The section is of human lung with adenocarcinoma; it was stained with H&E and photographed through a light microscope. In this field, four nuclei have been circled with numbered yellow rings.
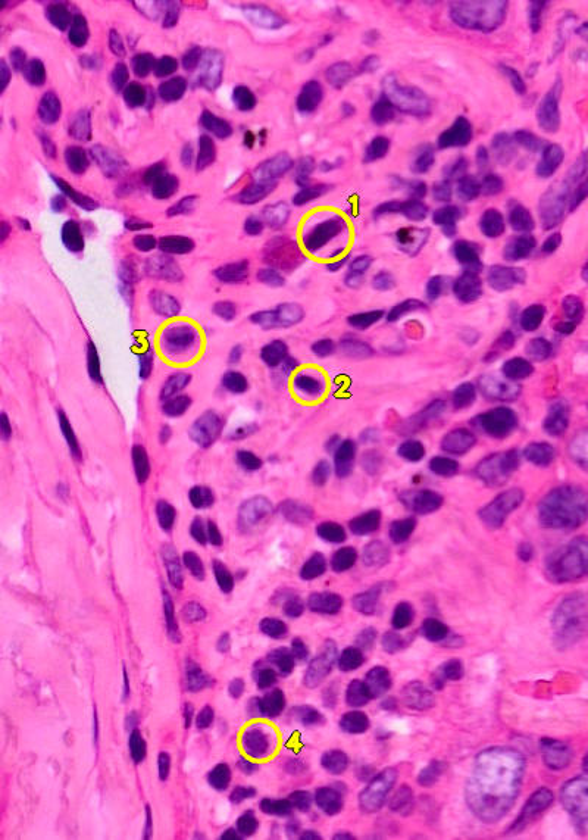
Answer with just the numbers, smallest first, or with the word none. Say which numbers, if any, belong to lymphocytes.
2, 3, 4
